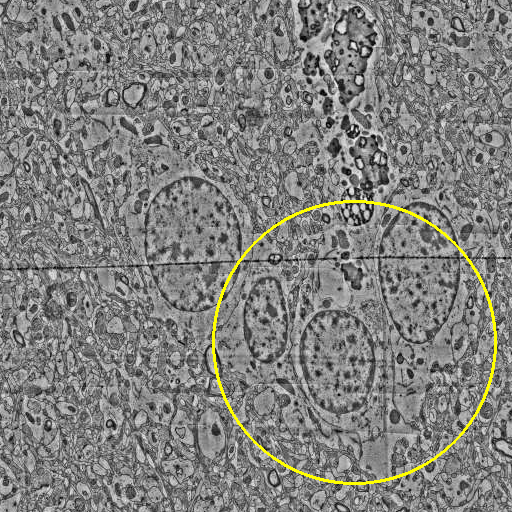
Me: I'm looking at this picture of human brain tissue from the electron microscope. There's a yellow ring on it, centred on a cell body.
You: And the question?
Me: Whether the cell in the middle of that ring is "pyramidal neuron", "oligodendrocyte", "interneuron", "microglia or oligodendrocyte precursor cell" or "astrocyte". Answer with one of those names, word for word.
astrocyte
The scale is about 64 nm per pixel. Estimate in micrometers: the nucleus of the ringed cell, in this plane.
In this plane, the nucleus of the cell at the centre of the ring measures about 6 by 5 micrometres.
